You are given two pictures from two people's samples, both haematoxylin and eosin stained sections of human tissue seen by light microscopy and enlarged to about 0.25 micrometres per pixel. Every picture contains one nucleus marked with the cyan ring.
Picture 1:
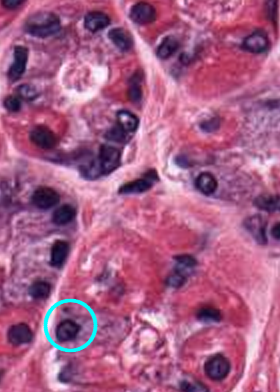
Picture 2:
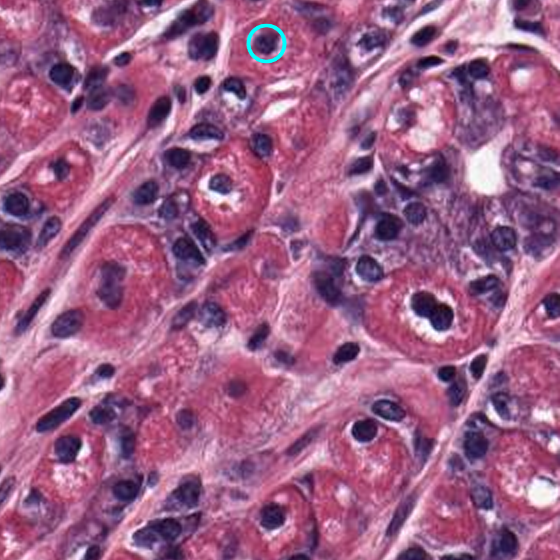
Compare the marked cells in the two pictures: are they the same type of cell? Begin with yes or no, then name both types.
No, the first is a chief cell and the second a parietal cell.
